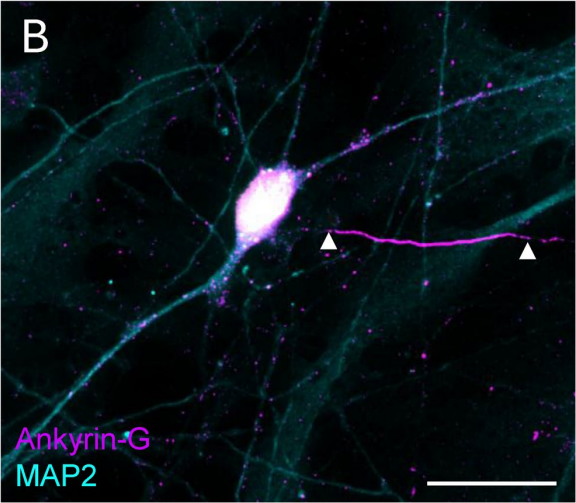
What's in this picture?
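Here a single cultured neuron is seen with its dendrites and the axon initial segment. The cell body is bright and roughly oval, sitting in the centre of the field. Several thicker cyan processes, the dendrites, leave the soma and taper as they run outward. Faint cyan processes of neighbouring cells cross the background.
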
